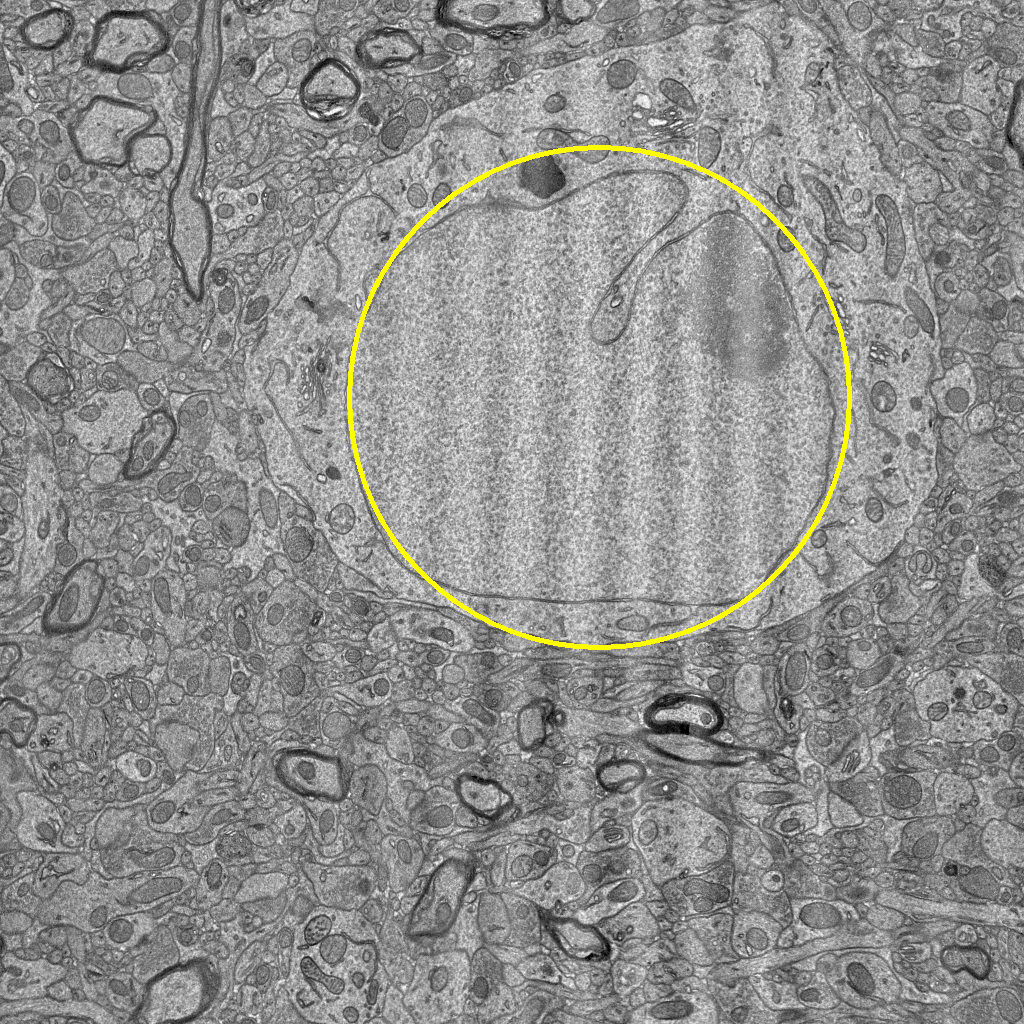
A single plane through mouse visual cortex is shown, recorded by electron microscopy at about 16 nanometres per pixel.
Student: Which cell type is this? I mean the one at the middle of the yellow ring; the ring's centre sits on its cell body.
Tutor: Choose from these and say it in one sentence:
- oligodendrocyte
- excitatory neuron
The cell at the ring's centre is an excitatory neuron.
